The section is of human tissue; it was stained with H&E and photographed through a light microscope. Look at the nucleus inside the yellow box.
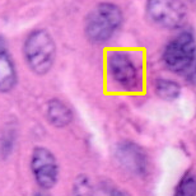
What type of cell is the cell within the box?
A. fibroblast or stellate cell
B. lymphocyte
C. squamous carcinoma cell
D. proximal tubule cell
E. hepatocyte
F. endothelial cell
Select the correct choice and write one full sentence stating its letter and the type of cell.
Here the right answer is C, with the cell within the box being a squamous carcinoma cell.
